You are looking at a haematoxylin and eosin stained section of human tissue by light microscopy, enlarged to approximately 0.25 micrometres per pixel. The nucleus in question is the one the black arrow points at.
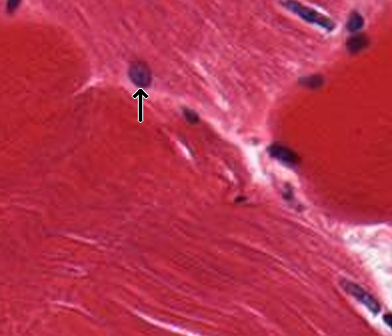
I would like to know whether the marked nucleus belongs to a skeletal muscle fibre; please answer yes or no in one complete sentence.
Yes, the cell that houses the marked nucleus is a skeletal muscle fibre.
